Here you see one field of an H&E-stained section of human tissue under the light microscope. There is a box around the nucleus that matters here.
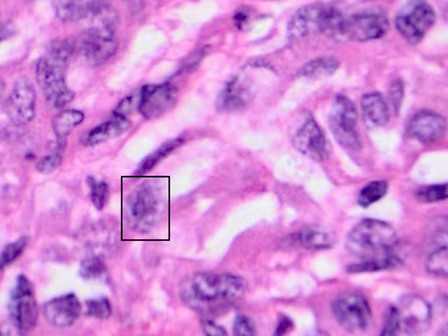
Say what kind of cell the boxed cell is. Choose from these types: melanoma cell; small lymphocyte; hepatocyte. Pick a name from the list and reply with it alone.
melanoma cell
